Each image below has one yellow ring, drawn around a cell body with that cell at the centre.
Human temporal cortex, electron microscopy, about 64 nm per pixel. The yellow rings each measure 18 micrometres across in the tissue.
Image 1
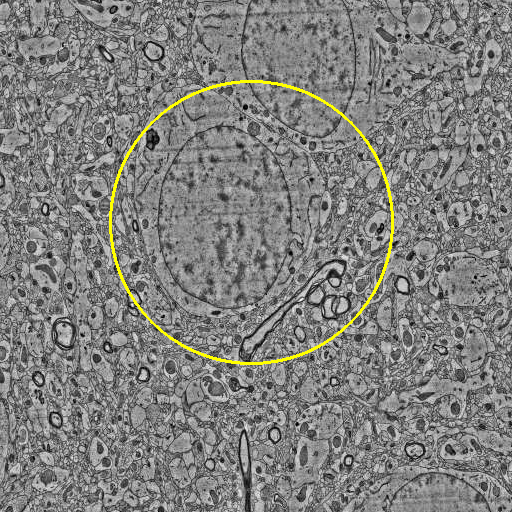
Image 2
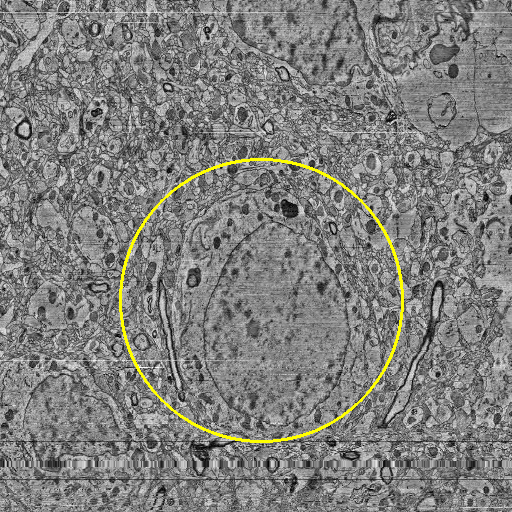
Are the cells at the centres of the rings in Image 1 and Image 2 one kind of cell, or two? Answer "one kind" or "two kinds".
one kind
